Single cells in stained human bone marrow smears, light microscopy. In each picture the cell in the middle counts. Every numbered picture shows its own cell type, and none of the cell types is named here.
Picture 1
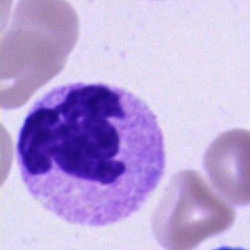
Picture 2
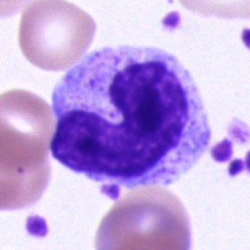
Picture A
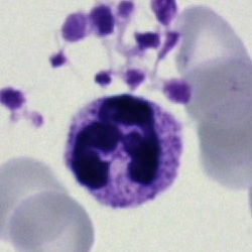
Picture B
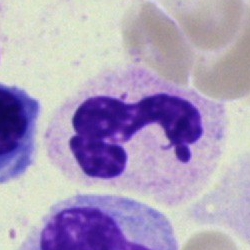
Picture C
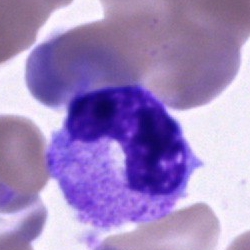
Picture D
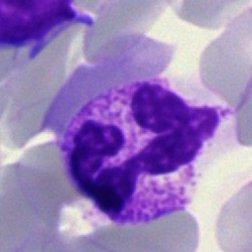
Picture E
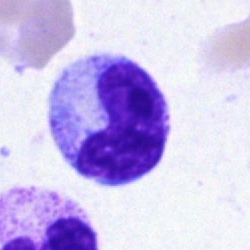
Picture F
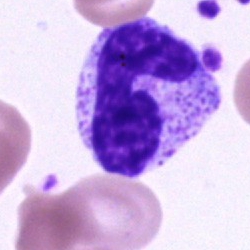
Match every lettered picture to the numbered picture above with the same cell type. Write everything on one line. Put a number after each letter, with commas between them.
A 1, B 1, C 2, D 1, E 2, F 2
